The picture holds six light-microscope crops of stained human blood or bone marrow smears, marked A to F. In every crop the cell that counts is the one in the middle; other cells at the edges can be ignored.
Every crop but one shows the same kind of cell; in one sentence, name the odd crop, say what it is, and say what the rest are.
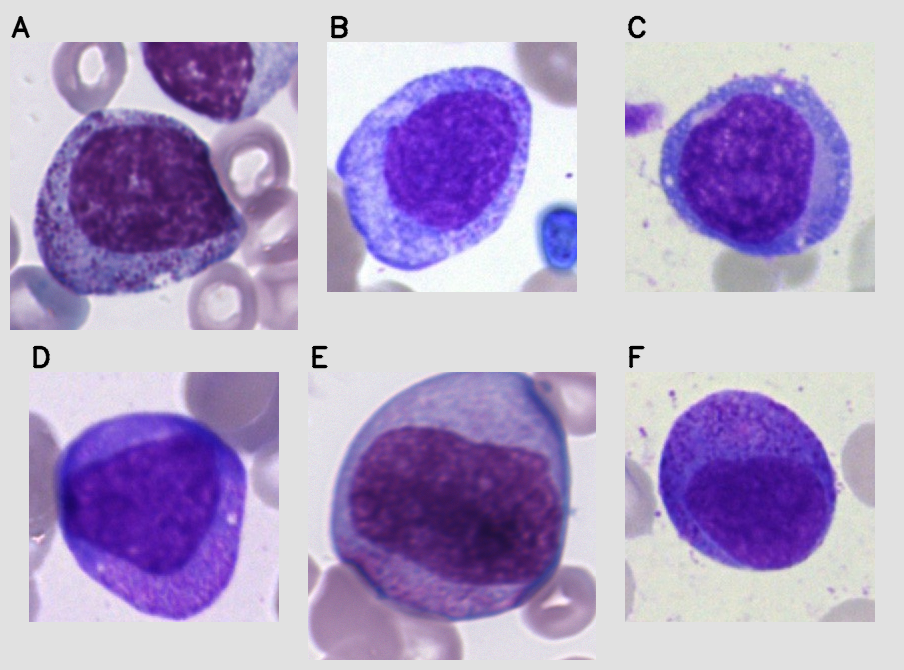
Crop C is the one to flag: it is a blast, and the rest show promyelocytes.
